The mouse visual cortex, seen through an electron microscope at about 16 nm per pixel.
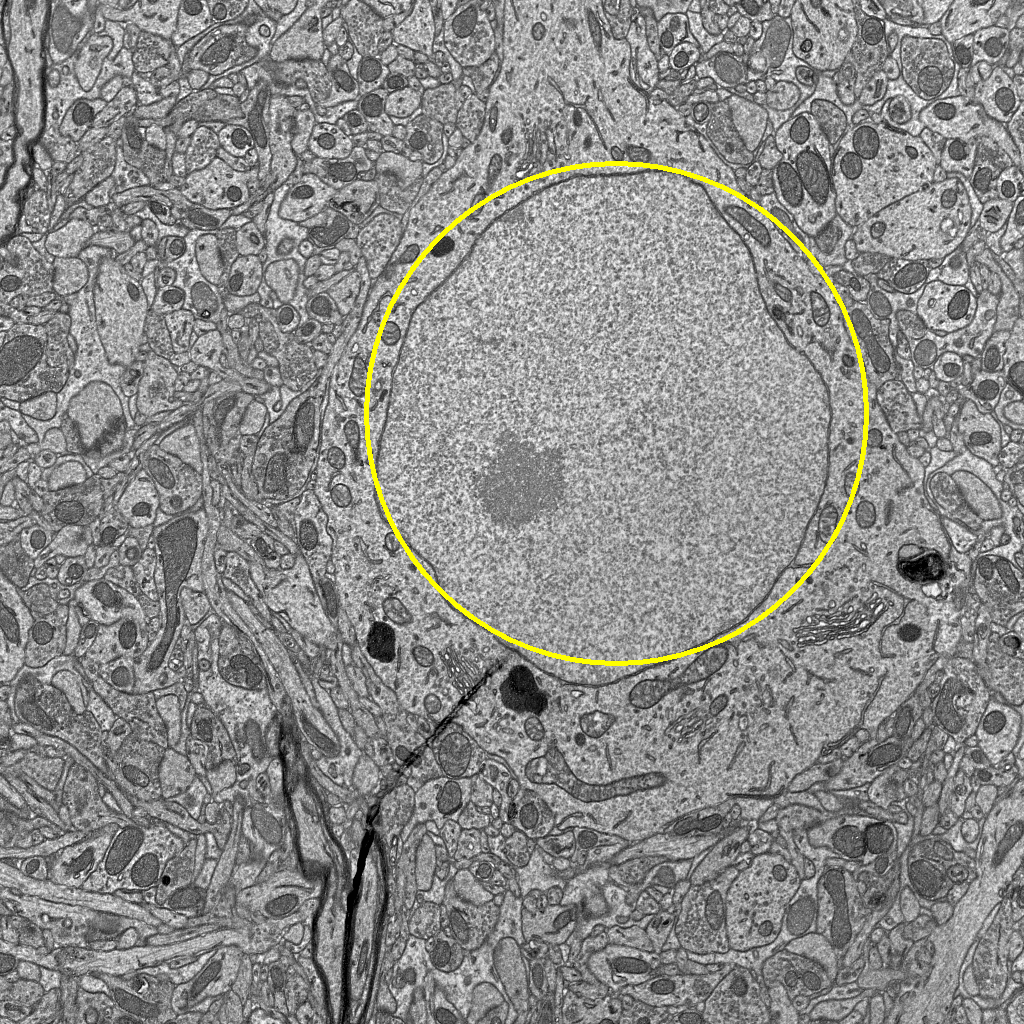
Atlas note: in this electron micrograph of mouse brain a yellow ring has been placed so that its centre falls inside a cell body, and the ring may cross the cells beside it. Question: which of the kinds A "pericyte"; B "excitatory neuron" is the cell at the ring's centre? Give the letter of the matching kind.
B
